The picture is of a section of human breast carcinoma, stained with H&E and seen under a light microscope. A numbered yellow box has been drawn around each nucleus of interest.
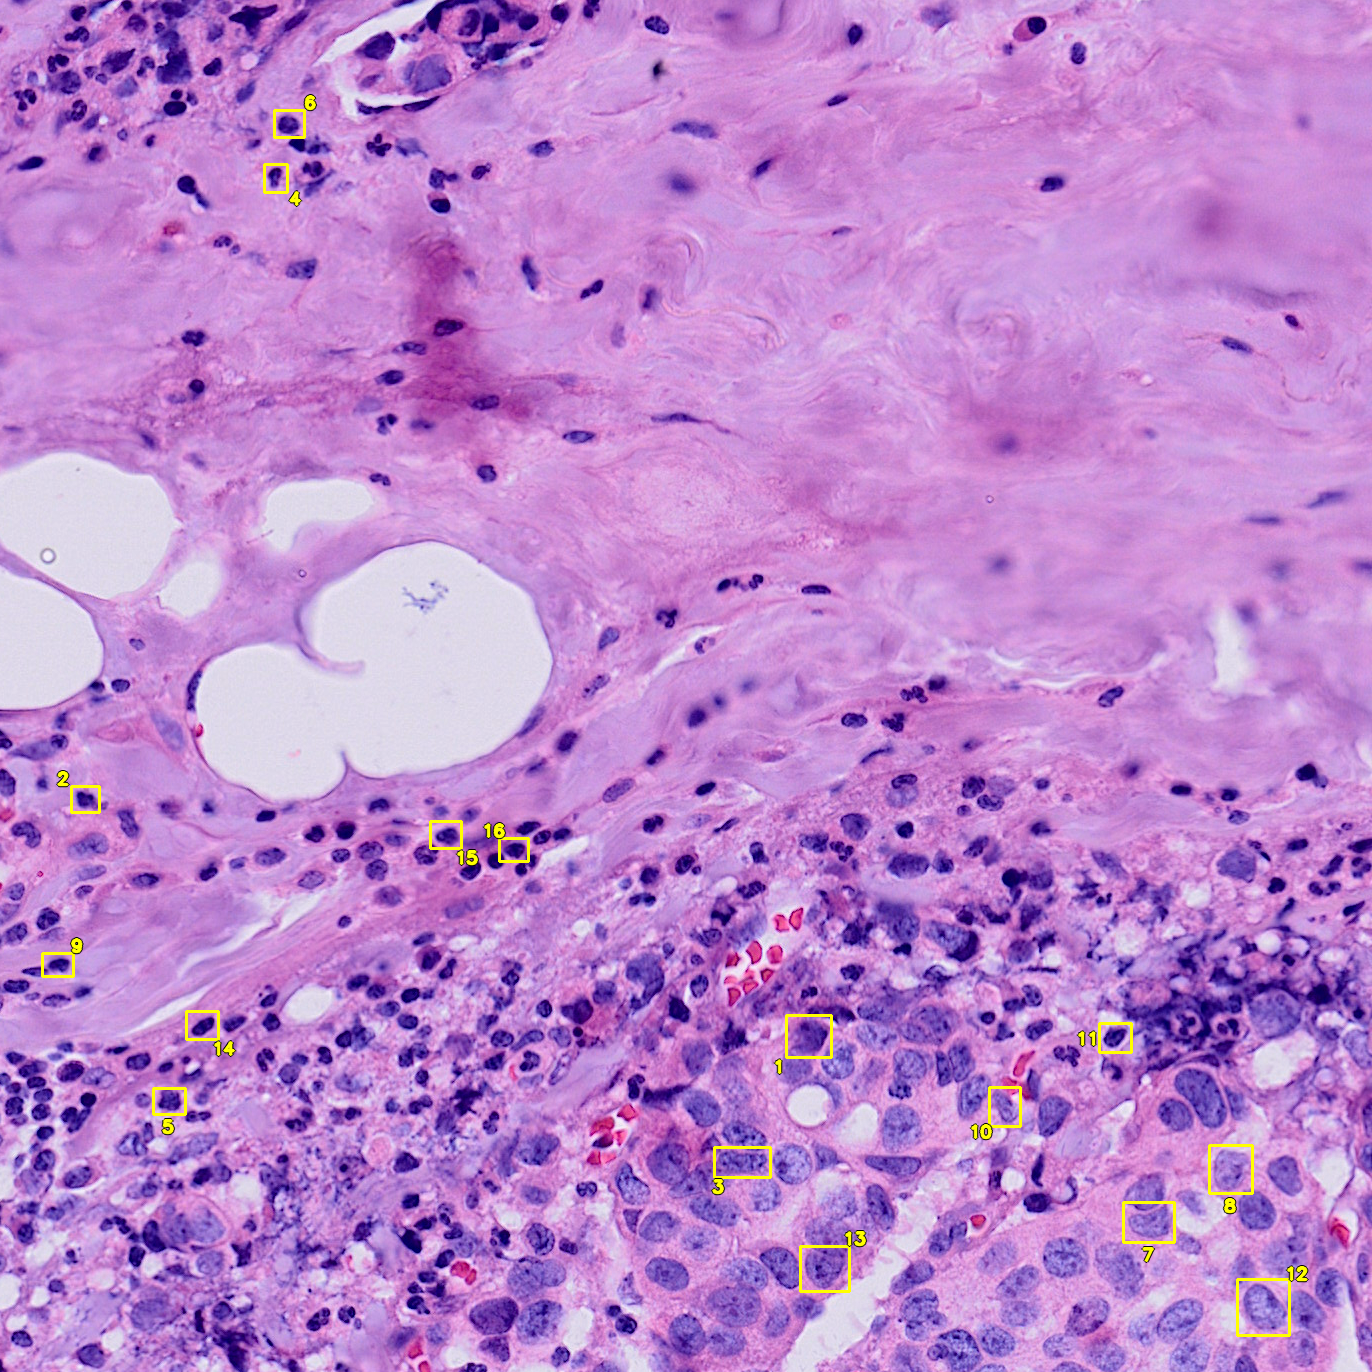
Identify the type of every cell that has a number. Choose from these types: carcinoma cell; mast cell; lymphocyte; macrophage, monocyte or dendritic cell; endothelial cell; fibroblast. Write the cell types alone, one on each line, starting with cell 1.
carcinoma cell
lymphocyte
carcinoma cell
lymphocyte
lymphocyte
lymphocyte
carcinoma cell
carcinoma cell
lymphocyte
endothelial cell
lymphocyte
carcinoma cell
carcinoma cell
lymphocyte
lymphocyte
lymphocyte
